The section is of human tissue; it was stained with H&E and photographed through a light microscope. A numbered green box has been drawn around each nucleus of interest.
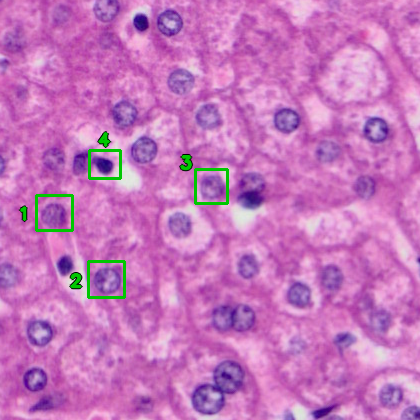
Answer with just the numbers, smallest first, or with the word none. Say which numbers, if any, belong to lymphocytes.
4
